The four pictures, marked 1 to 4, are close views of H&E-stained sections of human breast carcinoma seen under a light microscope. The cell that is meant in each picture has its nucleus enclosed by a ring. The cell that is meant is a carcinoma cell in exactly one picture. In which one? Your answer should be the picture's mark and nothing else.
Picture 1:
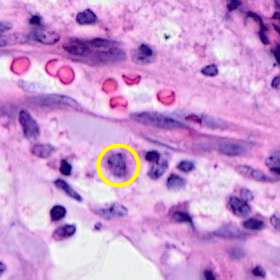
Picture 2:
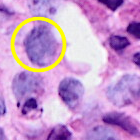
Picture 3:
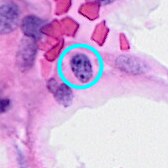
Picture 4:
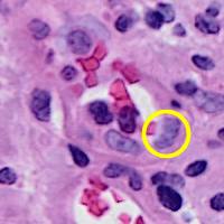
2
